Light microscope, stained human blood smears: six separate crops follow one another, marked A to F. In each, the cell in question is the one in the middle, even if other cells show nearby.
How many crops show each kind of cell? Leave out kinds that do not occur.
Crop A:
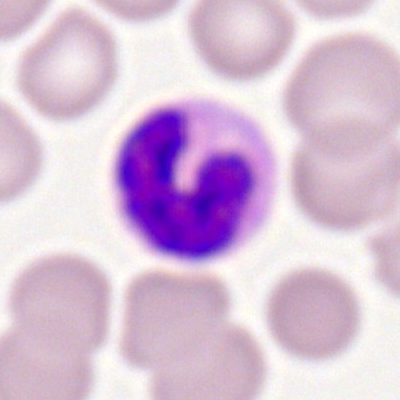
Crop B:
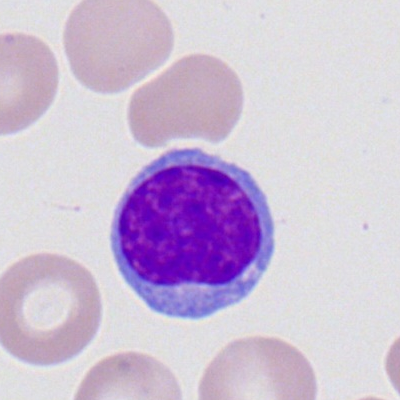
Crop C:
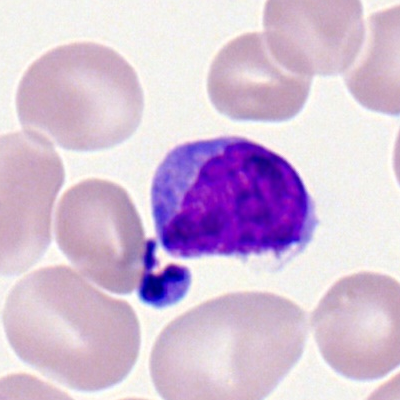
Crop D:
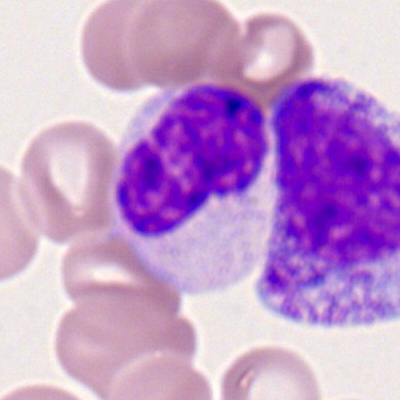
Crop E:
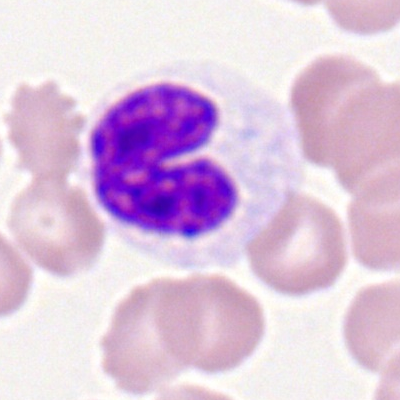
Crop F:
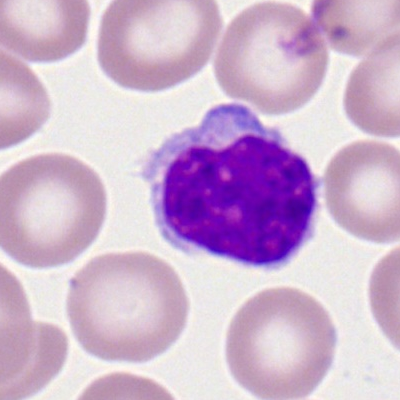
band neutrophil: 3
lymphocyte: 3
